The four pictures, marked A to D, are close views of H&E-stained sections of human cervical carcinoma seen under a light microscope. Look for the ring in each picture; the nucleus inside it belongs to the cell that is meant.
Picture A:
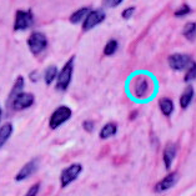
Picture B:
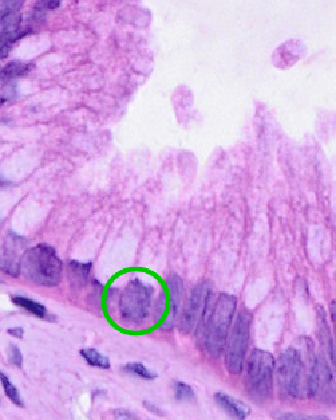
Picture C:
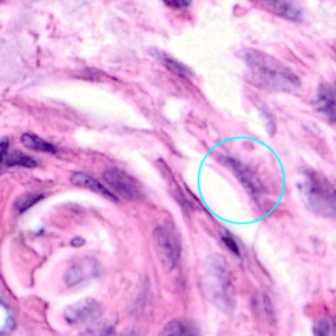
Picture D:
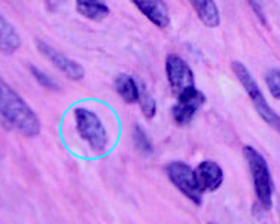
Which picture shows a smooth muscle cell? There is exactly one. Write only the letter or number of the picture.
A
